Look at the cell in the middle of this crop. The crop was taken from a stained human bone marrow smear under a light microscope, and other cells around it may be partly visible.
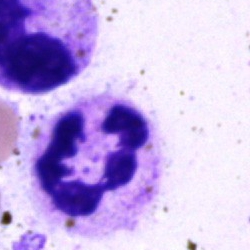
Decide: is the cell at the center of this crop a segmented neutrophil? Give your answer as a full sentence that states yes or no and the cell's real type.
Yes, as regards the cell in the middle, it is a segmented neutrophil.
